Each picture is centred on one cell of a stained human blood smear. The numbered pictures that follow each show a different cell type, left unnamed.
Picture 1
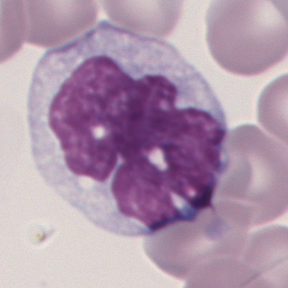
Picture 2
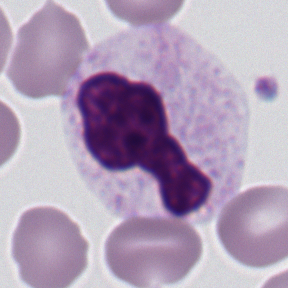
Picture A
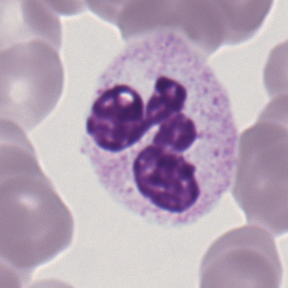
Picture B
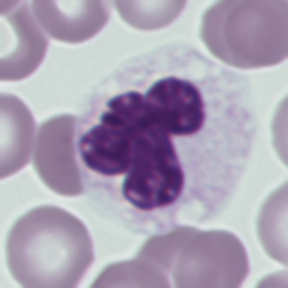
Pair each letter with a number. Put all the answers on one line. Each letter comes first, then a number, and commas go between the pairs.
A 2, B 2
